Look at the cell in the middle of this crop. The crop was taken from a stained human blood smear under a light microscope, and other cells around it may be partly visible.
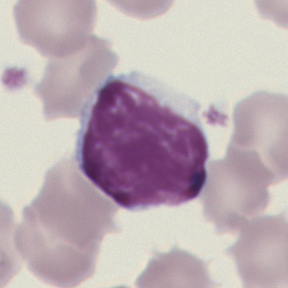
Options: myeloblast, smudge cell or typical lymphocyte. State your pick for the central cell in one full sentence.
The cell the crop is centered on is a typical lymphocyte.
